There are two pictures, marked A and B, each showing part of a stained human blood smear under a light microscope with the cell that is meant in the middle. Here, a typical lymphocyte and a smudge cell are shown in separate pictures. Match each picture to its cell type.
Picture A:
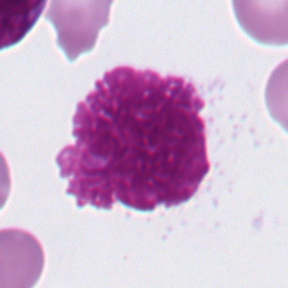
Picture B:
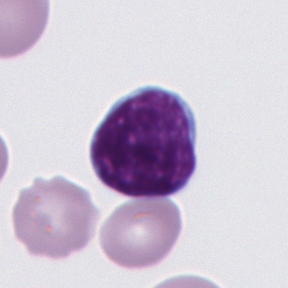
A: smudge cell
B: typical lymphocyte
